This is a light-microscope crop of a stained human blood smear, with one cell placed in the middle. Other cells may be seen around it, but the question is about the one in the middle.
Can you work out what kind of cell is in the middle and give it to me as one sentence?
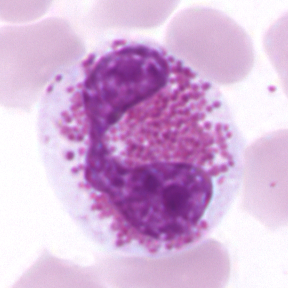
At the center of the crop sits an eosinophil.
